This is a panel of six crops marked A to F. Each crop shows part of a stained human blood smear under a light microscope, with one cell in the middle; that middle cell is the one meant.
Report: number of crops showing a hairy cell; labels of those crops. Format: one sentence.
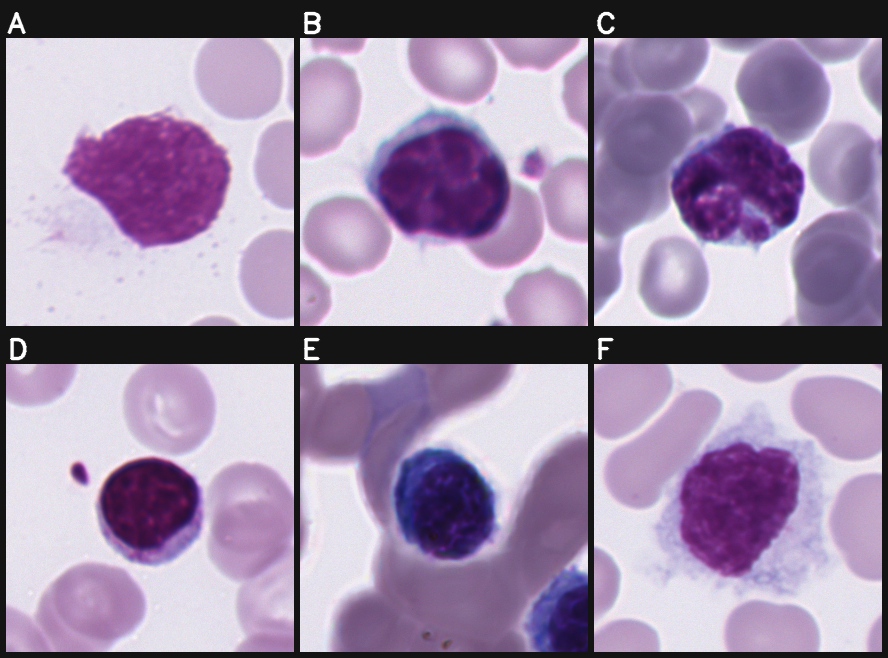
Only in crop F does a hairy cell occupy the centre.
